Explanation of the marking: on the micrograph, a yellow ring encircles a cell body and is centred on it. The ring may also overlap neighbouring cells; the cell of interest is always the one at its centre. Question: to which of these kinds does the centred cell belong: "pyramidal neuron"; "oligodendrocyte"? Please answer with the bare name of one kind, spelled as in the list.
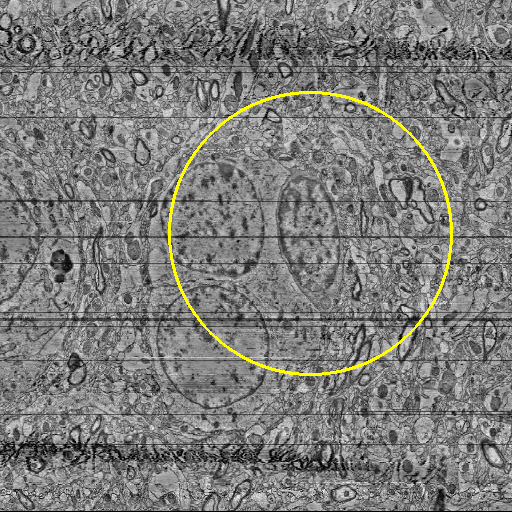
oligodendrocyte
